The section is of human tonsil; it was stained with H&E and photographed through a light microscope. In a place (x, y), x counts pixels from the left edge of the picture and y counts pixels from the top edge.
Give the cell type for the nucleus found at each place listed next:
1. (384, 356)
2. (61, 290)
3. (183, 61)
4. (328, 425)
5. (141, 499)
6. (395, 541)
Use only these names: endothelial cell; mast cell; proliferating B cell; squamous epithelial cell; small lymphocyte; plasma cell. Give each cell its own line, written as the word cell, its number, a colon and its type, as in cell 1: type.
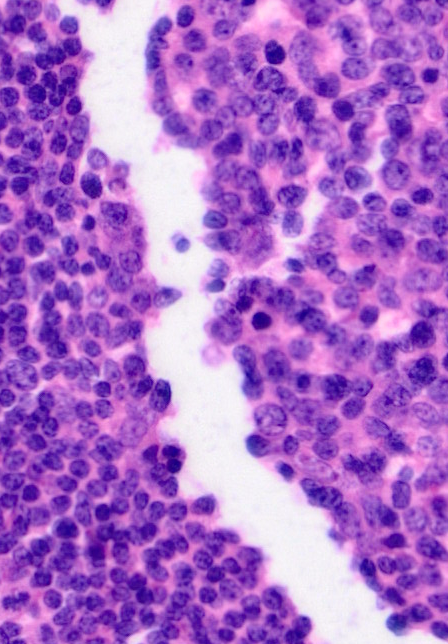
cell 1: proliferating B cell
cell 2: small lymphocyte
cell 3: proliferating B cell
cell 4: proliferating B cell
cell 5: small lymphocyte
cell 6: proliferating B cell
